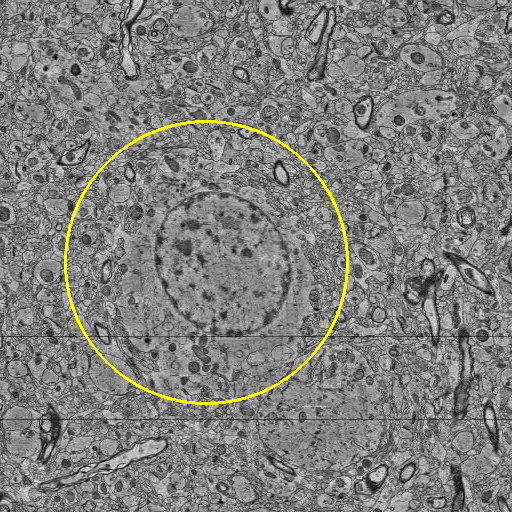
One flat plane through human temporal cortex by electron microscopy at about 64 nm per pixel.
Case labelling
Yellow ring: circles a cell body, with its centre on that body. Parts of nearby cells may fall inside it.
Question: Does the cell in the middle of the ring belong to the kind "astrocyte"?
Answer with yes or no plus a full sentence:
Yes, in this picture the cell in the middle of the yellow ring belongs to that kind.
